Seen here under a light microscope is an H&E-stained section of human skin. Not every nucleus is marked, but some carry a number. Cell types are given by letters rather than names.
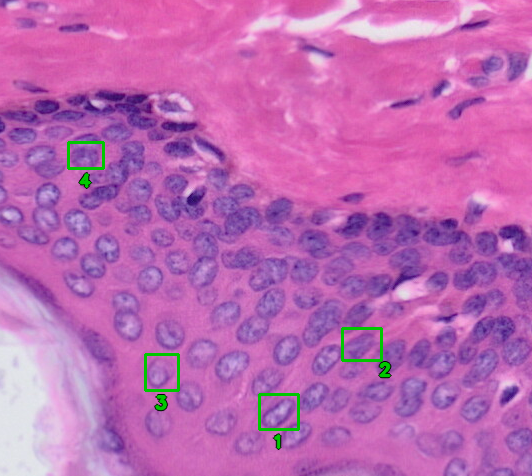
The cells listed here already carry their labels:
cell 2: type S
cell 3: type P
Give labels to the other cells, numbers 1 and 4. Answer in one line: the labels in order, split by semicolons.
type P; type P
